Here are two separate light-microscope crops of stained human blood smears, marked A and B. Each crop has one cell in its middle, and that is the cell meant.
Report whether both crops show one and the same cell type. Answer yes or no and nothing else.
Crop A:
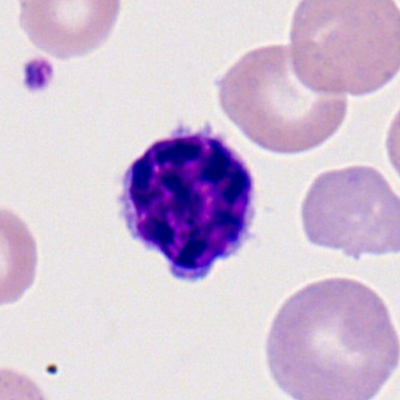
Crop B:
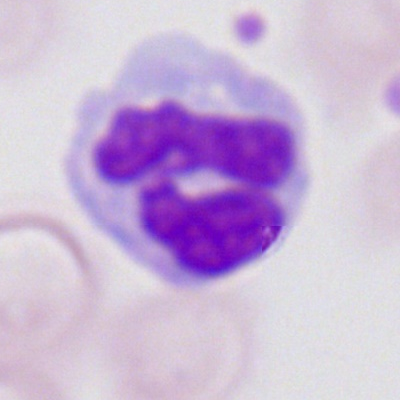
no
